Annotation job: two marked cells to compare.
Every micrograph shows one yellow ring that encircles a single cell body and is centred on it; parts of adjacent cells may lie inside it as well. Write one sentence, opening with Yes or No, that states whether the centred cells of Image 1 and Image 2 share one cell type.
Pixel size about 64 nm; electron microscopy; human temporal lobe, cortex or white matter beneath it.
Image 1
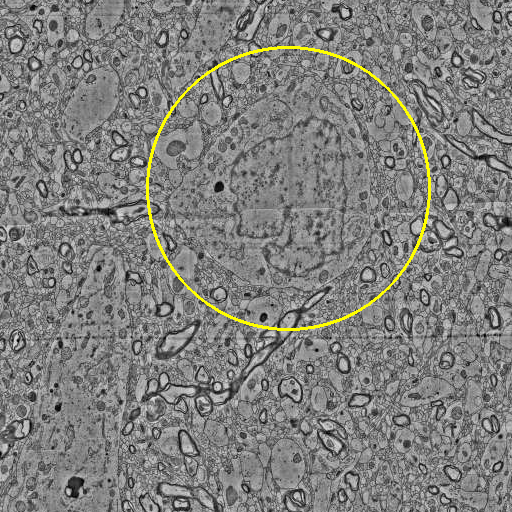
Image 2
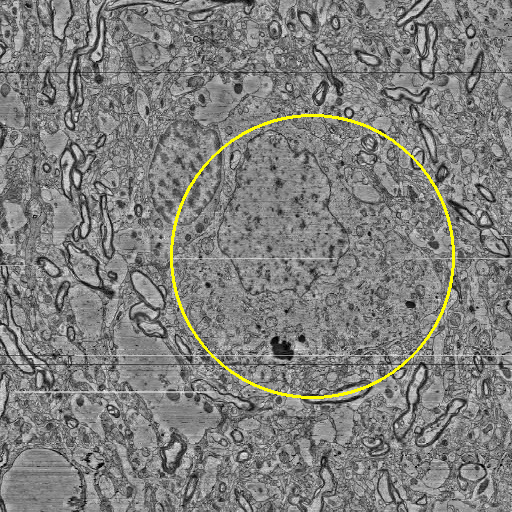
No, the cell centred in Image 1 and the cell centred in Image 2 are of two types.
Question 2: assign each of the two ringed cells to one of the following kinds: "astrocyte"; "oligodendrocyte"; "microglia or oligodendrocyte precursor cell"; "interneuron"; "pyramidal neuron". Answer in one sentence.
The two cells are an interneuron in the first picture and a pyramidal neuron in the second.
